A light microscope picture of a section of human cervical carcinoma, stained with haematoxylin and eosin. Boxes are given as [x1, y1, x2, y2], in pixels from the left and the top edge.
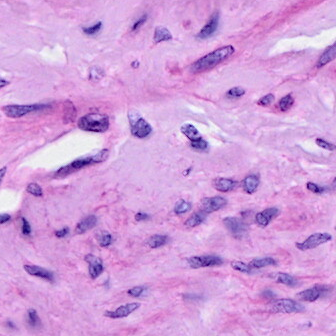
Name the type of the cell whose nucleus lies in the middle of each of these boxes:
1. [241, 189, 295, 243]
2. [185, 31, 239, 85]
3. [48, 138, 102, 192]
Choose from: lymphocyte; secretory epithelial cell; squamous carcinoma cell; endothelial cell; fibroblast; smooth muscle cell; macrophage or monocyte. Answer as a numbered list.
1. smooth muscle cell
2. smooth muscle cell
3. endothelial cell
